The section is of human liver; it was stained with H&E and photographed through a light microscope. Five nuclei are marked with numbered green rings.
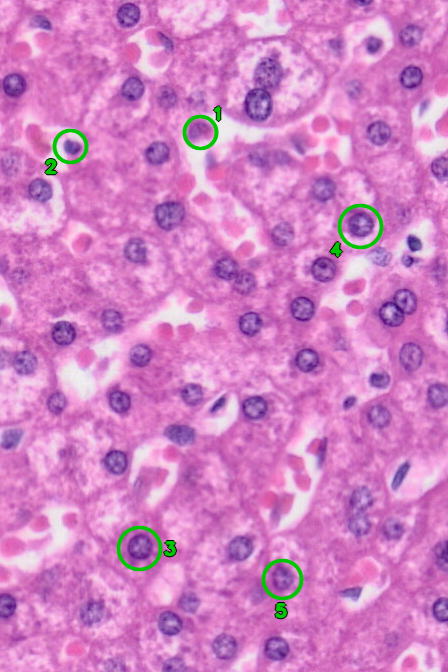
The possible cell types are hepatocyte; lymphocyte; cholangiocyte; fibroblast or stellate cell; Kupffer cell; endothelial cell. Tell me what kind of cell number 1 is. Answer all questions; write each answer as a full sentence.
The cell marked with number 1 is a Kupffer cell.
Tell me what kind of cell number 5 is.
Identified as a hepatocyte is the cell bearing the number 5.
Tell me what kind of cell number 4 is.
The marked nucleus 4 is that of a hepatocyte.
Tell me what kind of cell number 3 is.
The cell indicated by marker 3 is a hepatocyte in this section.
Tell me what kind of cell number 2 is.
The nucleus with number 2 is that of a lymphocyte.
